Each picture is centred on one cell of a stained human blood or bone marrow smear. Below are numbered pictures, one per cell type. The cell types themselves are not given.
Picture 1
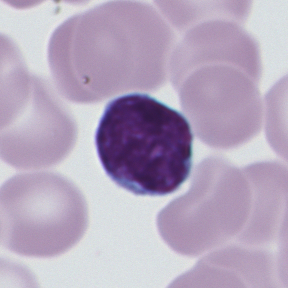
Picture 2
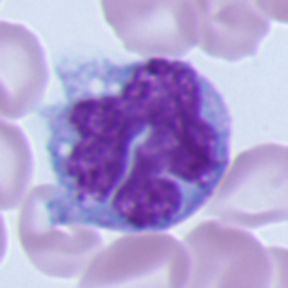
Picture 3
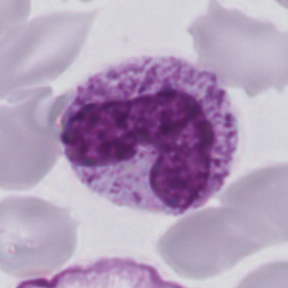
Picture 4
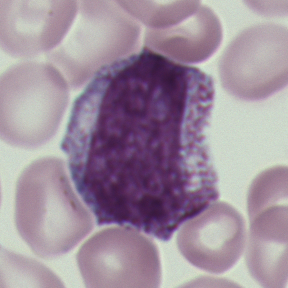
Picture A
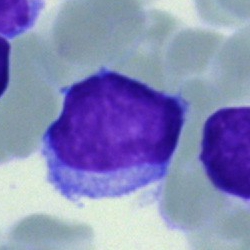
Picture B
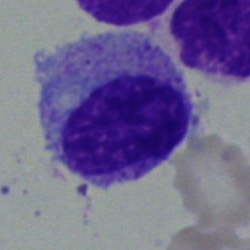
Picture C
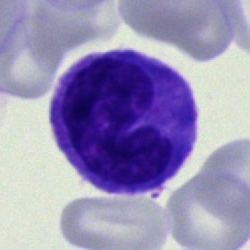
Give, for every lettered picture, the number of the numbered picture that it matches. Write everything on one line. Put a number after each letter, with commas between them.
A 1, B 4, C 2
